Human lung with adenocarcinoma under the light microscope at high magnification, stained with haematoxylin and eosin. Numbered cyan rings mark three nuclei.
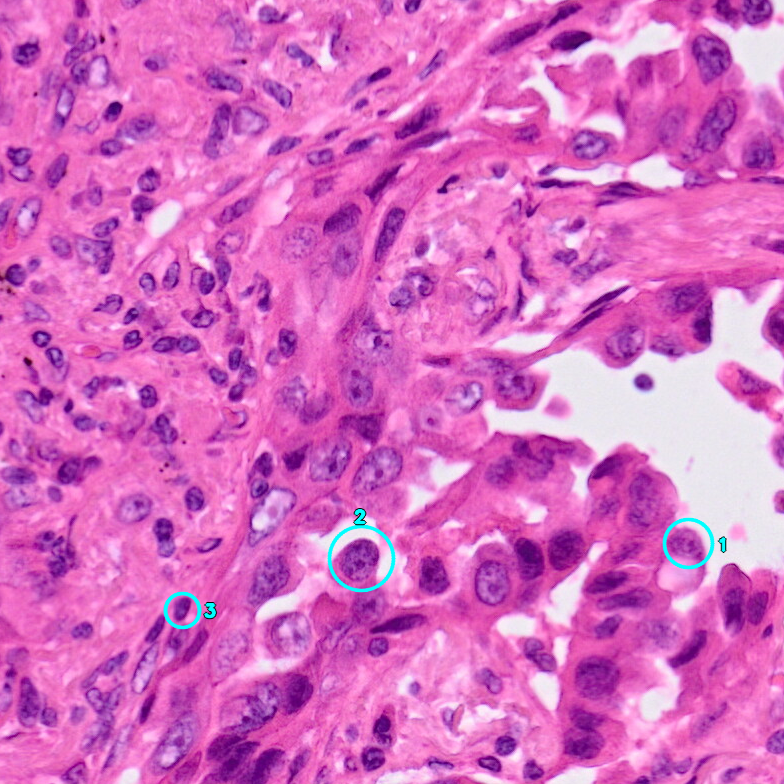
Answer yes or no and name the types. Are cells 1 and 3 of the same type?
No, hold on, cell 1 is a carcinoma cell and cell 3 is a lymphocyte.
